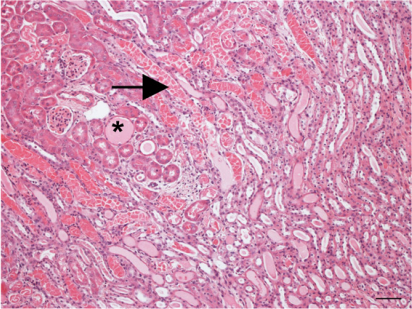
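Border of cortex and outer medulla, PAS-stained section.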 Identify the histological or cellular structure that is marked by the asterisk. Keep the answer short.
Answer: tubular casts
